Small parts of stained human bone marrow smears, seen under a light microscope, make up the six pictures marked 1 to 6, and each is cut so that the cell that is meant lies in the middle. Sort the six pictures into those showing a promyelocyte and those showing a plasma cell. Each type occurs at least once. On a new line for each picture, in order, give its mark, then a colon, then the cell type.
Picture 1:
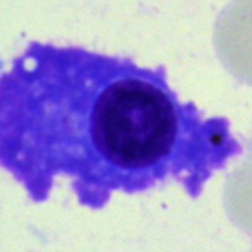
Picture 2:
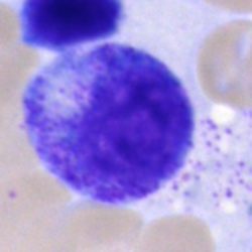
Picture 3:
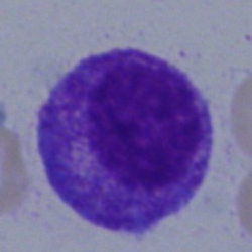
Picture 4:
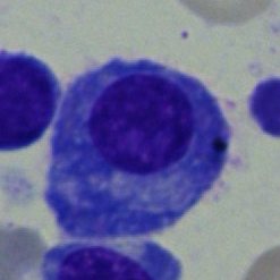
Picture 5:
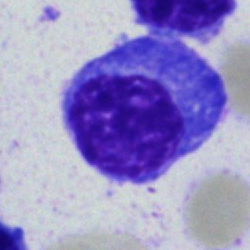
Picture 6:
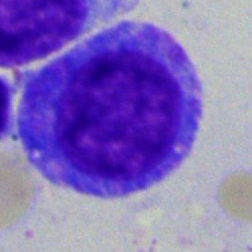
1: plasma cell
2: promyelocyte
3: promyelocyte
4: plasma cell
5: plasma cell
6: promyelocyte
